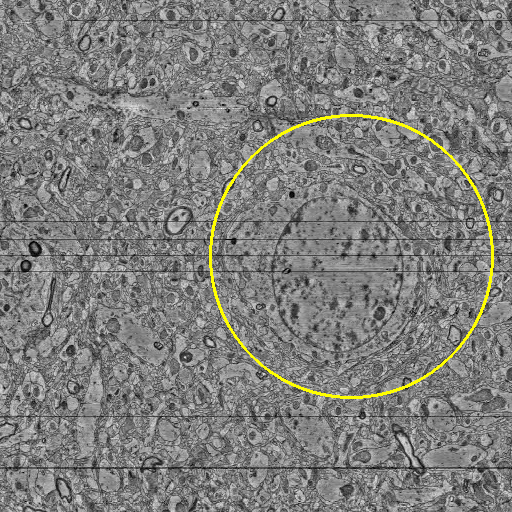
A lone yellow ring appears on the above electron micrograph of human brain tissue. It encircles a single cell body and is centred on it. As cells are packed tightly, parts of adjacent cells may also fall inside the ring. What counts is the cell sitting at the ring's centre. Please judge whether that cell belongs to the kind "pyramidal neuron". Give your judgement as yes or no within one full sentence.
Yes, the cell lying at the centre of the ring in the picture belongs to this kind.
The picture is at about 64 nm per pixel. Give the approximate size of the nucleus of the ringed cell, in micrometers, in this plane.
The nucleus is approximately 11 micrometers long by 9 micrometers wide in this plane.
